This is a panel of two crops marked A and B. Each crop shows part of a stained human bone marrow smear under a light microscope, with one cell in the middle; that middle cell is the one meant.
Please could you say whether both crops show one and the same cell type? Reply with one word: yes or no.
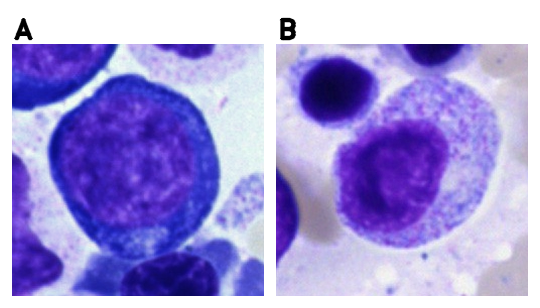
no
